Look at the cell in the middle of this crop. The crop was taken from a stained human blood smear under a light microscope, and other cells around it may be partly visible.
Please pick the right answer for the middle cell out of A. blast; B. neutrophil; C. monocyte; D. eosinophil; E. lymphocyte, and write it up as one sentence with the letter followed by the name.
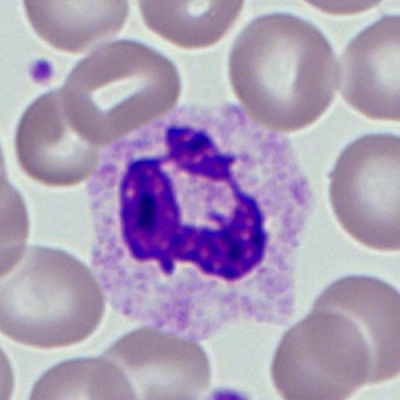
The correct choice is option B, which identifies the middle cell as a neutrophil.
